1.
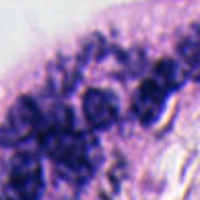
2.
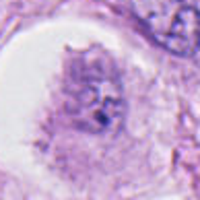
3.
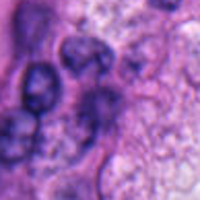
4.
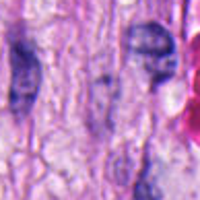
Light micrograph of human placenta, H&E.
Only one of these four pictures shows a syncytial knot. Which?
Picture 1.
